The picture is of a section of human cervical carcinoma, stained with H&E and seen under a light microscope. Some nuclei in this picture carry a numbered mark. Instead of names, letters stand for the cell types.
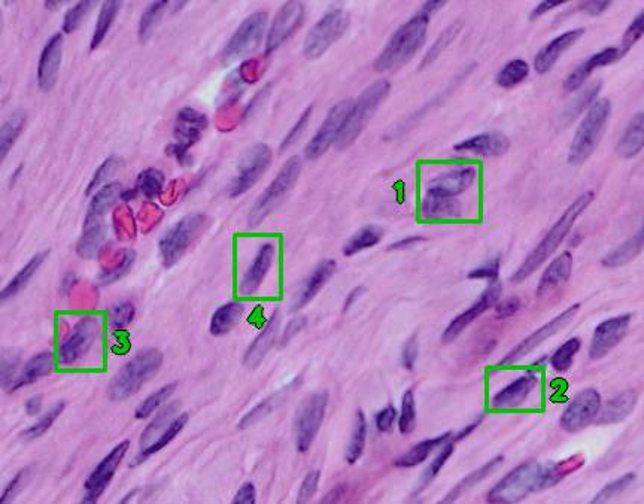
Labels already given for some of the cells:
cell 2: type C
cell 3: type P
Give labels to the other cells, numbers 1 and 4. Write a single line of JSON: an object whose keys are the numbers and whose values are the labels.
{"1": "type P", "4": "type C"}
